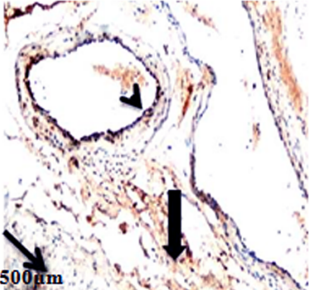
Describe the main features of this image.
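A rounded blood vessel with an open lumen containing some loose material sits in the upper part of the field, its wall built of several layers of cells with small oval nuclei. The innermost lining around the lumen is stained dark brown, and brown staining extends into the surrounding wall. Below and around the vessel lies loose, fibrous connective tissue, also patchily brown, forming the outer coat. Empty spaces separate strands of this tissue.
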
